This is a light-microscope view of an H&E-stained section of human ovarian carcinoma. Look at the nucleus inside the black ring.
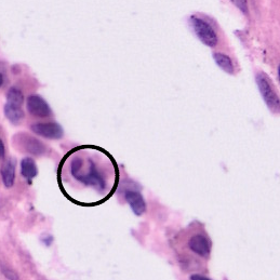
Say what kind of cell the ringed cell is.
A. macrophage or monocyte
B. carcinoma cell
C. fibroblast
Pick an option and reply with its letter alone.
A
